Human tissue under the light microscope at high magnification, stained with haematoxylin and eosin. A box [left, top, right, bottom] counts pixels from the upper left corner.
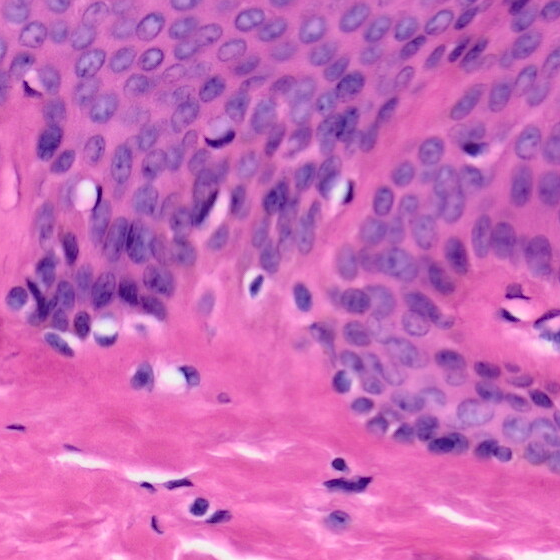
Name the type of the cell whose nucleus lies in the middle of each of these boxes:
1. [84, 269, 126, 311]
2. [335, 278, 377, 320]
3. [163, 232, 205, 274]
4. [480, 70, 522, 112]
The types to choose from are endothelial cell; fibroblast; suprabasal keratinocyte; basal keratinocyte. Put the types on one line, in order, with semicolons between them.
basal keratinocyte; basal keratinocyte; basal keratinocyte; suprabasal keratinocyte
